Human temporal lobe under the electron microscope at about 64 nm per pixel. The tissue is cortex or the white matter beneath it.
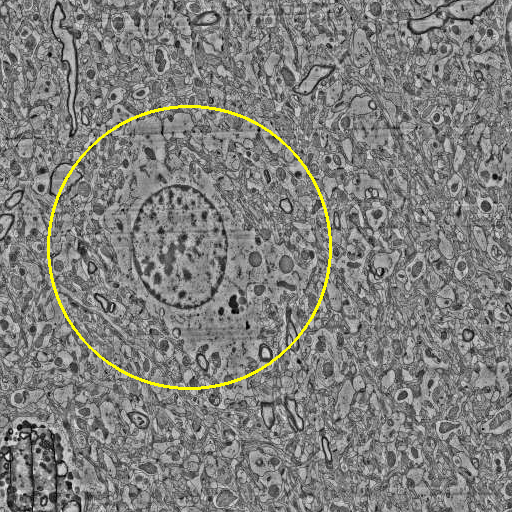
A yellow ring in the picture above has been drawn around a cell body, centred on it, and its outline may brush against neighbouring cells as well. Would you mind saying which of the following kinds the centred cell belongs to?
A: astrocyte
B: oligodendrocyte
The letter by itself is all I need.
A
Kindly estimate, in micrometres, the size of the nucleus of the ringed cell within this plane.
Roughly 8 by 6 micrometres in this plane, for the nucleus of the ringed cell.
